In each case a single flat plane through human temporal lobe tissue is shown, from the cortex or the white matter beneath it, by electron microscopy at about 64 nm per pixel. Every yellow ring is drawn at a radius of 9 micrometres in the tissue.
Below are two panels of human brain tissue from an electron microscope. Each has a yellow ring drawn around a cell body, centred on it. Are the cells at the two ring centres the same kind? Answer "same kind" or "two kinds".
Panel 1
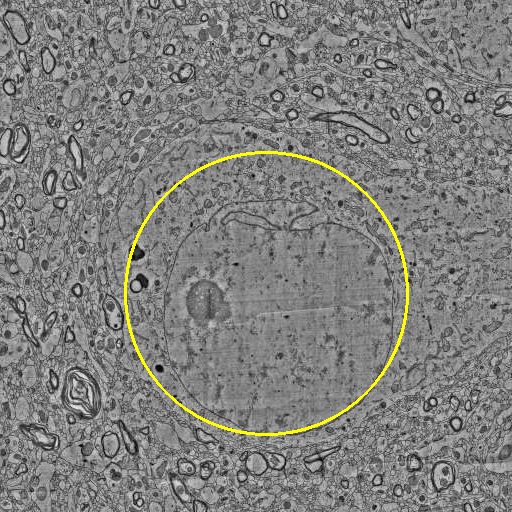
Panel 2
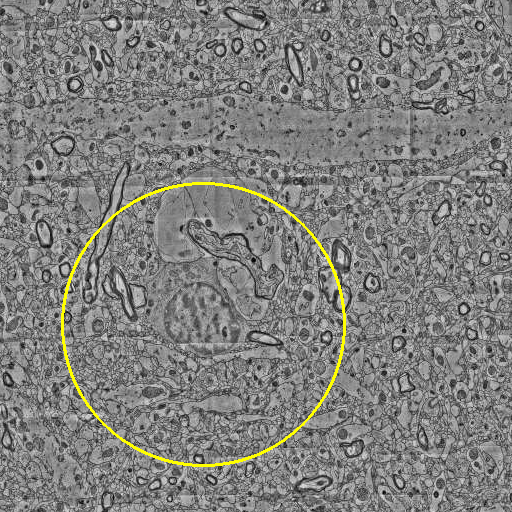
two kinds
